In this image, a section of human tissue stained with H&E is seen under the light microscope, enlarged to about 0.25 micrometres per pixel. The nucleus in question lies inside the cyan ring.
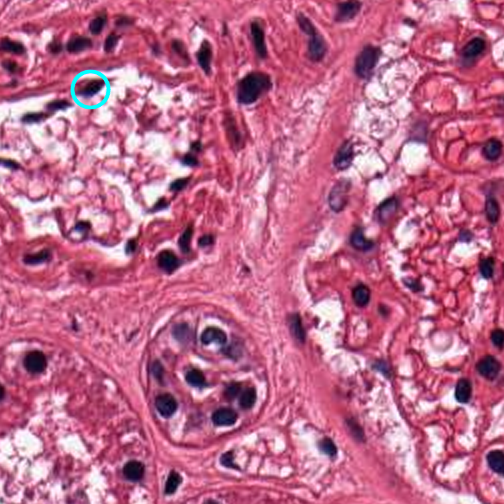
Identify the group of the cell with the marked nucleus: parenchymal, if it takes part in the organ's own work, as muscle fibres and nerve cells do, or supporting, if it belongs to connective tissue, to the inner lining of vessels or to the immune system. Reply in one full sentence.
The marked nucleus is the nucleus belonging to a supporting cell.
